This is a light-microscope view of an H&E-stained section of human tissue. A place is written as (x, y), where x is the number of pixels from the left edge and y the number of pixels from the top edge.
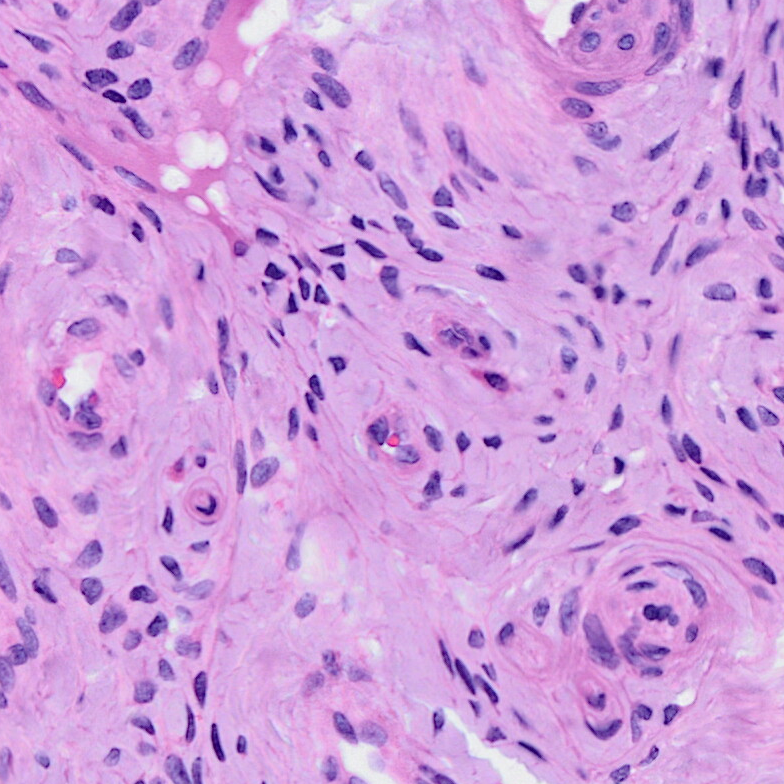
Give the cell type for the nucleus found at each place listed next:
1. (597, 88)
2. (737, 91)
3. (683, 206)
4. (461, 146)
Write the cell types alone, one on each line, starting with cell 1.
smooth muscle cell
fibroblast
fibroblast
fibroblast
